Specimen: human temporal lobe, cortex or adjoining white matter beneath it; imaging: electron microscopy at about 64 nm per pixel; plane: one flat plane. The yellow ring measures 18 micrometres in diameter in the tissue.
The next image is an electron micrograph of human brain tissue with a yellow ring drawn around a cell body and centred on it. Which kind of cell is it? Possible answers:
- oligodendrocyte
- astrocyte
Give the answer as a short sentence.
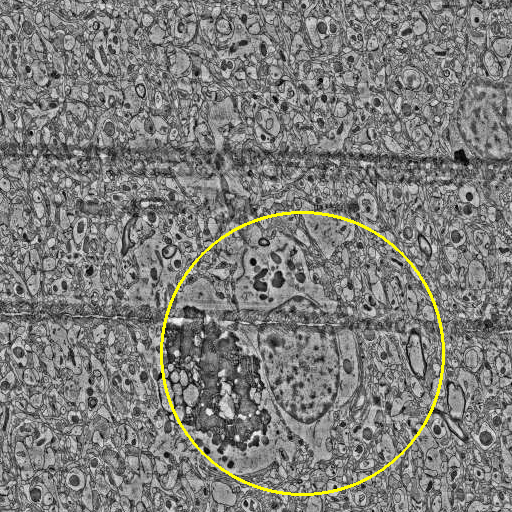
In the ring's centre is an astrocyte.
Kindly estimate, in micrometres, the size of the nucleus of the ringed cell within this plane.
In this plane, about 8 by 5 micrometres: the nucleus is clearly longer than it is wide.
